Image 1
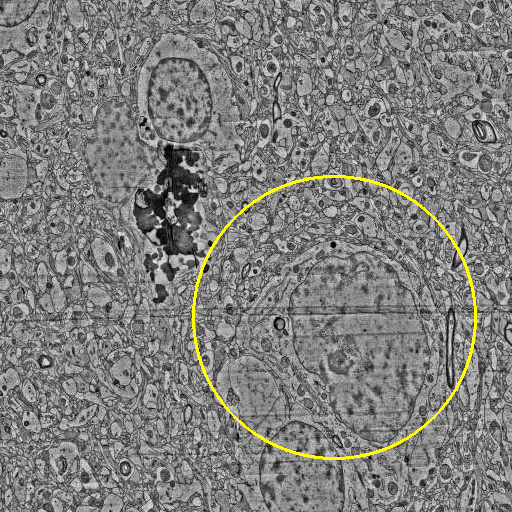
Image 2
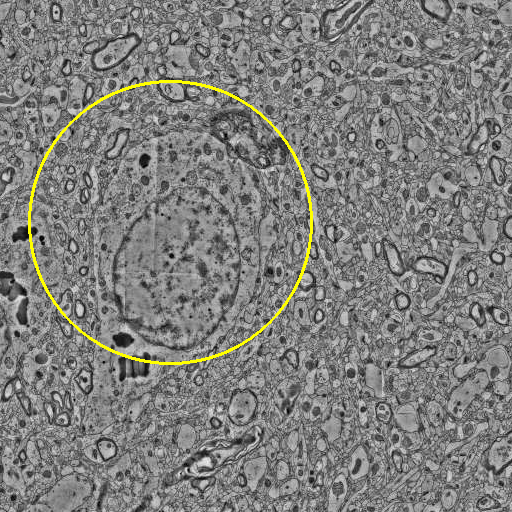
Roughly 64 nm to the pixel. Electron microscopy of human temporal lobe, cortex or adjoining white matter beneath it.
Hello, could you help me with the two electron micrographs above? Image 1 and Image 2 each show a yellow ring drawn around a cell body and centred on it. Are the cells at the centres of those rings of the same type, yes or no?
yes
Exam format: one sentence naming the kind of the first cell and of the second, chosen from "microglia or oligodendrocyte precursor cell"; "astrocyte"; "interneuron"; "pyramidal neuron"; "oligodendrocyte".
Each one of the two ringed cells is an interneuron.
